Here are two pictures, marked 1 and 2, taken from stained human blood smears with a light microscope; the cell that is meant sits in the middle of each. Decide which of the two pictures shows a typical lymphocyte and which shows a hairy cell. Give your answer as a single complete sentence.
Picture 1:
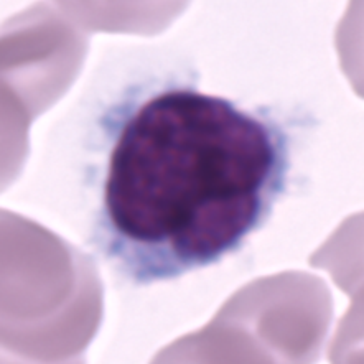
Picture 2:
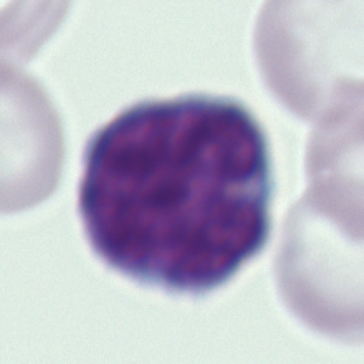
Picture 1 shows a hairy cell and picture 2 shows a typical lymphocyte.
